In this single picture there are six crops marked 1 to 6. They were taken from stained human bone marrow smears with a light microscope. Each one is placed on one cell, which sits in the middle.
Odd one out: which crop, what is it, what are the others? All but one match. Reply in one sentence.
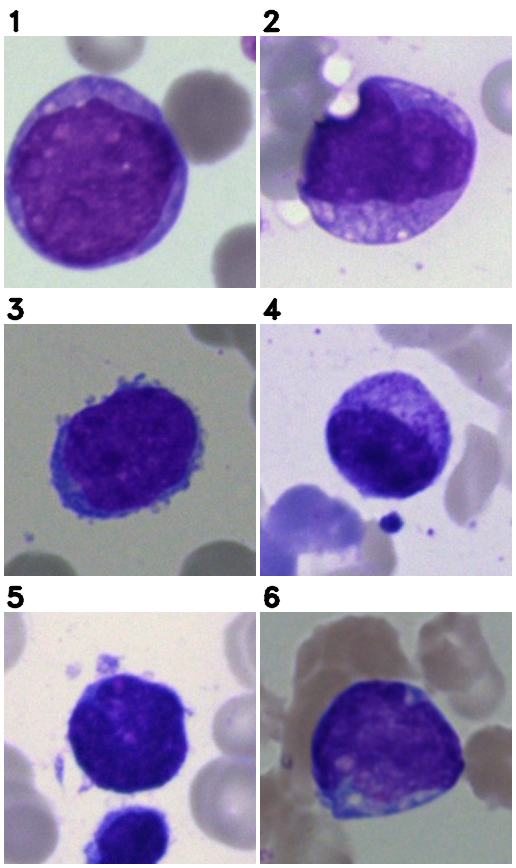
Crop 4 is a promyelocyte, while the rest of the set consists of blasts.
